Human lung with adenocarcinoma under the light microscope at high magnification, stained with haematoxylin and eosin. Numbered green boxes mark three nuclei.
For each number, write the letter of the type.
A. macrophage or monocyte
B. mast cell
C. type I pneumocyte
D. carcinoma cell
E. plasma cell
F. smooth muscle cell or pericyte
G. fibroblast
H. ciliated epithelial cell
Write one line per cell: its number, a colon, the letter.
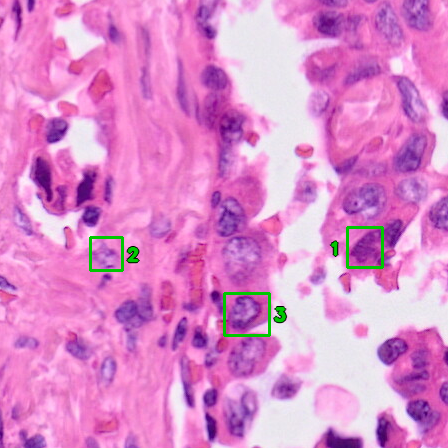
1: D
2: G
3: D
